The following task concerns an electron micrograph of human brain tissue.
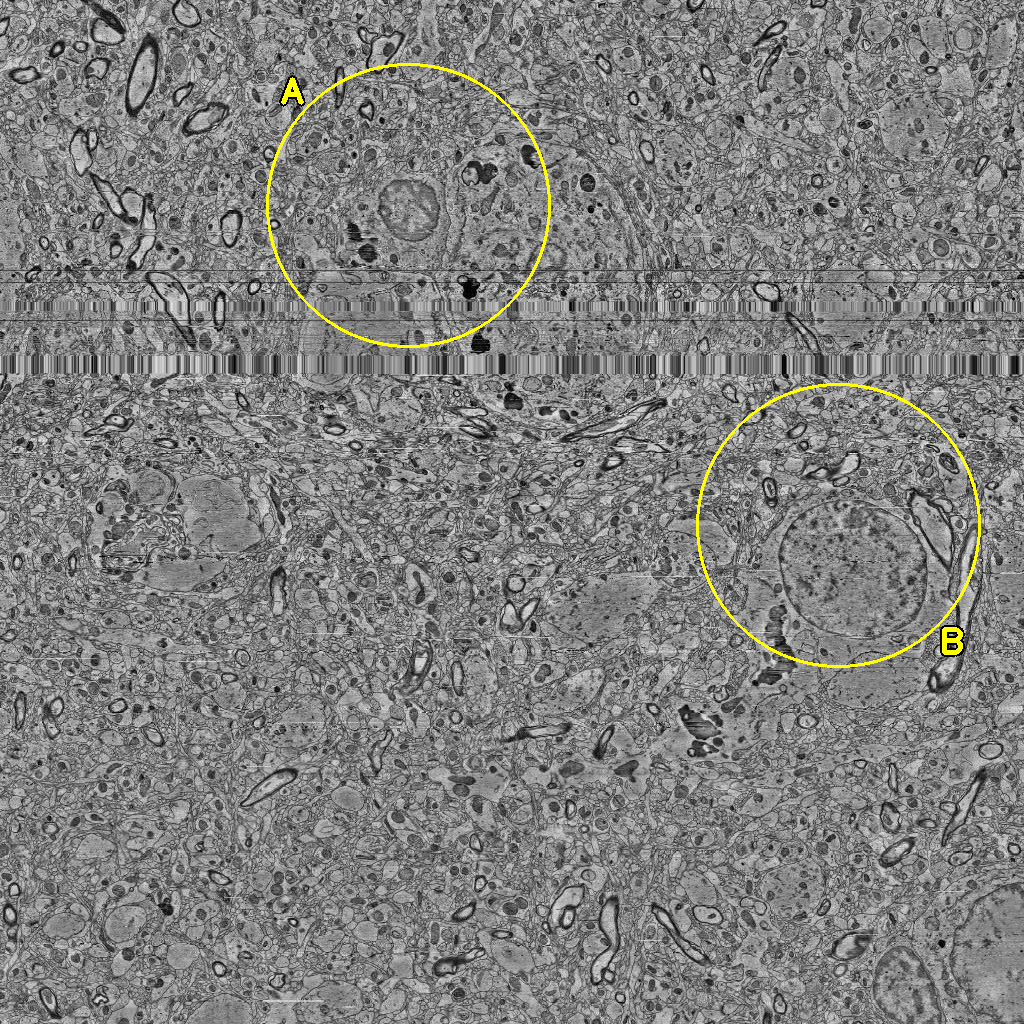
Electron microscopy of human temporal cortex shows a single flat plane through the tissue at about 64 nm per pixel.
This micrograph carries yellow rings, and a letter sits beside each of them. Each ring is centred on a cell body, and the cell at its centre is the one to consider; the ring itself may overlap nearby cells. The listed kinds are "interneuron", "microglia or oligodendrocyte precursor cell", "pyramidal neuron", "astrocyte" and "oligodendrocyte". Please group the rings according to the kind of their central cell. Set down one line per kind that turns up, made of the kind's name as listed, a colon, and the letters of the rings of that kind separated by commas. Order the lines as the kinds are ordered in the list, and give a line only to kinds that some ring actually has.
astrocyte: B
oligodendrocyte: A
